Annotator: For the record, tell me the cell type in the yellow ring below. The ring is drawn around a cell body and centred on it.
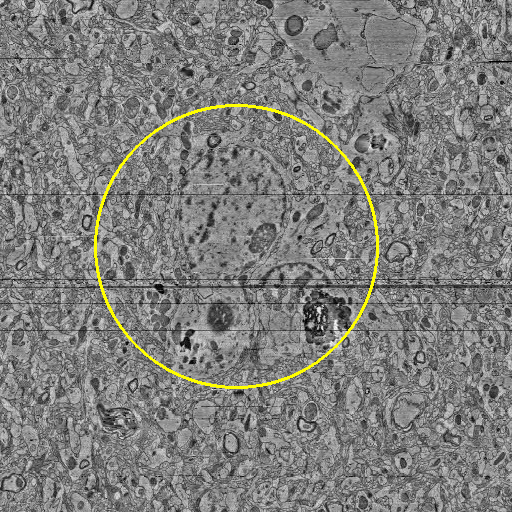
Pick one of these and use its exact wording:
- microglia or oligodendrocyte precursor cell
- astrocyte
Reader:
astrocyte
